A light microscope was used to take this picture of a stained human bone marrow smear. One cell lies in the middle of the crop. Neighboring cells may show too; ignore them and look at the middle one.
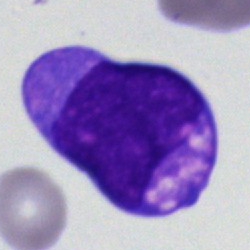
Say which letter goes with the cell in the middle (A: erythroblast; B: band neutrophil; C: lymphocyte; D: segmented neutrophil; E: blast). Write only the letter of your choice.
E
